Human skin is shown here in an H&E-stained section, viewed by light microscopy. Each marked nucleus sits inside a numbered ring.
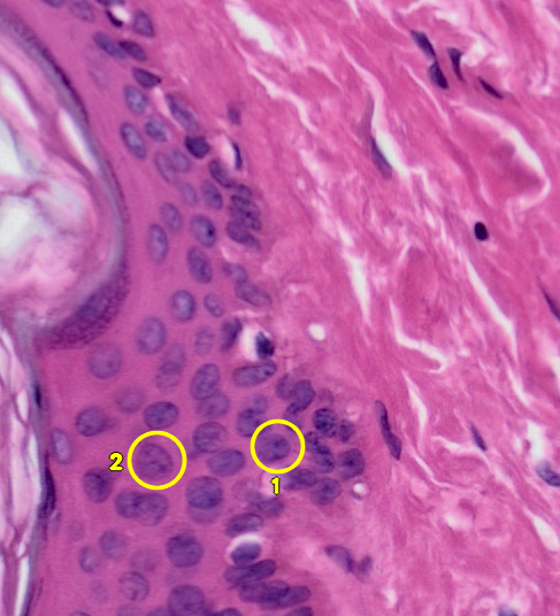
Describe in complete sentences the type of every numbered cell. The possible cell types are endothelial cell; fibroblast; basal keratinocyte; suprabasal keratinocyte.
Cell 1 is a basal keratinocyte. Cell 2 is a suprabasal keratinocyte.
